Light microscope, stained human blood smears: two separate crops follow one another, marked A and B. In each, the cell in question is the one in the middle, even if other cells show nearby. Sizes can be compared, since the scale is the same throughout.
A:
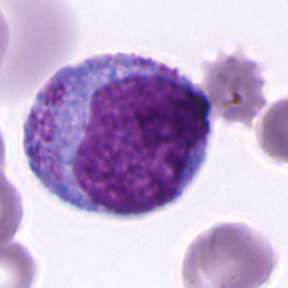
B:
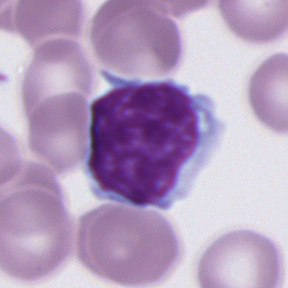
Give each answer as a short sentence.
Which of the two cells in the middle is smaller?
It is the cell in crop B; the cell in crop A has about 1.5 times its area.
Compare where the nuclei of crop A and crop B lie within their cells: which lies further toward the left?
Seen within its cell, the nucleus in crop B lies further toward the left.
